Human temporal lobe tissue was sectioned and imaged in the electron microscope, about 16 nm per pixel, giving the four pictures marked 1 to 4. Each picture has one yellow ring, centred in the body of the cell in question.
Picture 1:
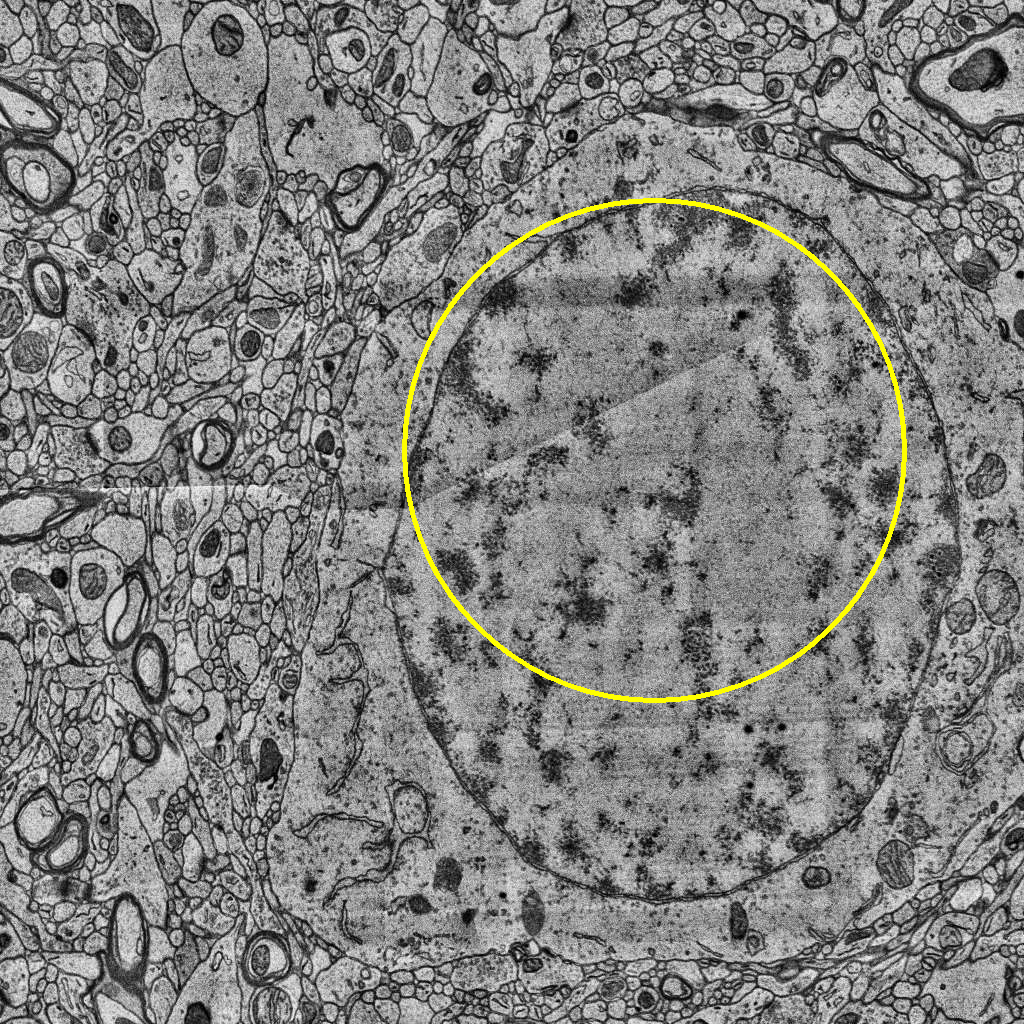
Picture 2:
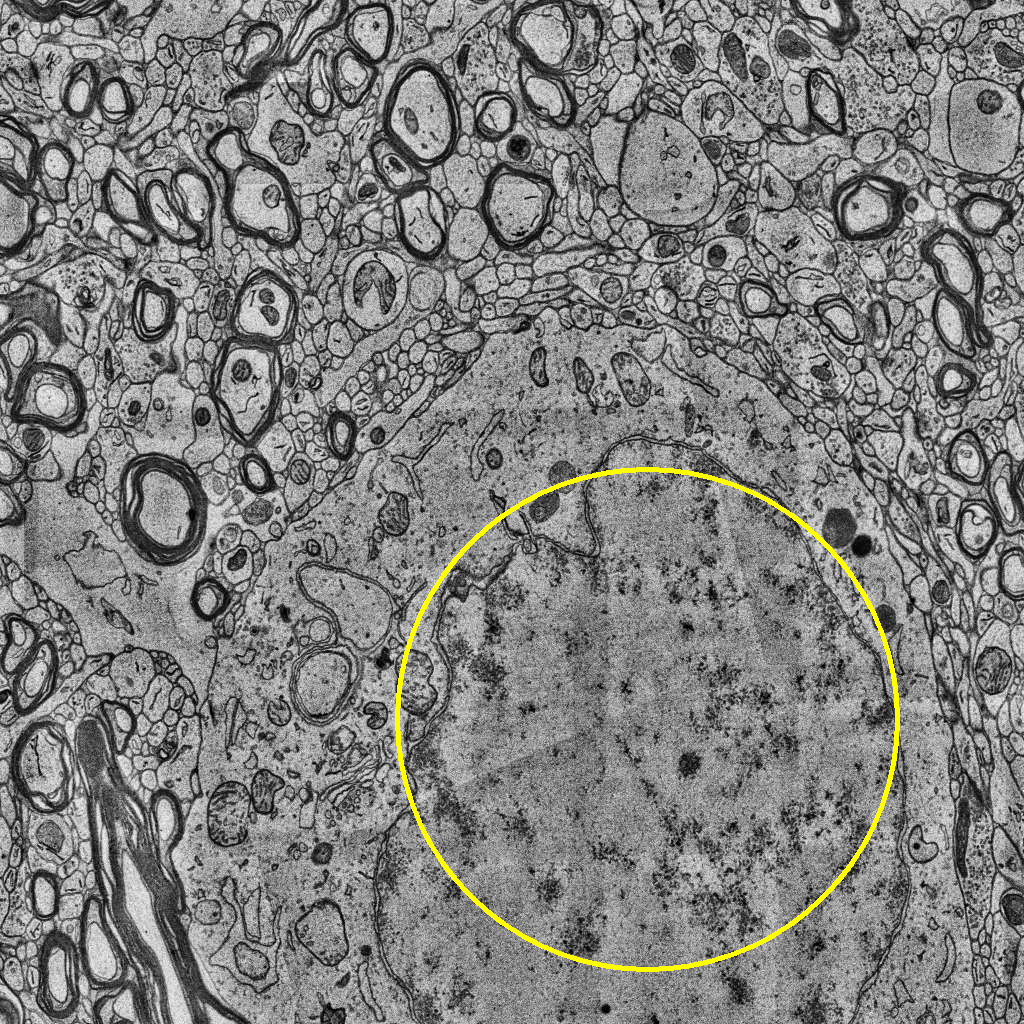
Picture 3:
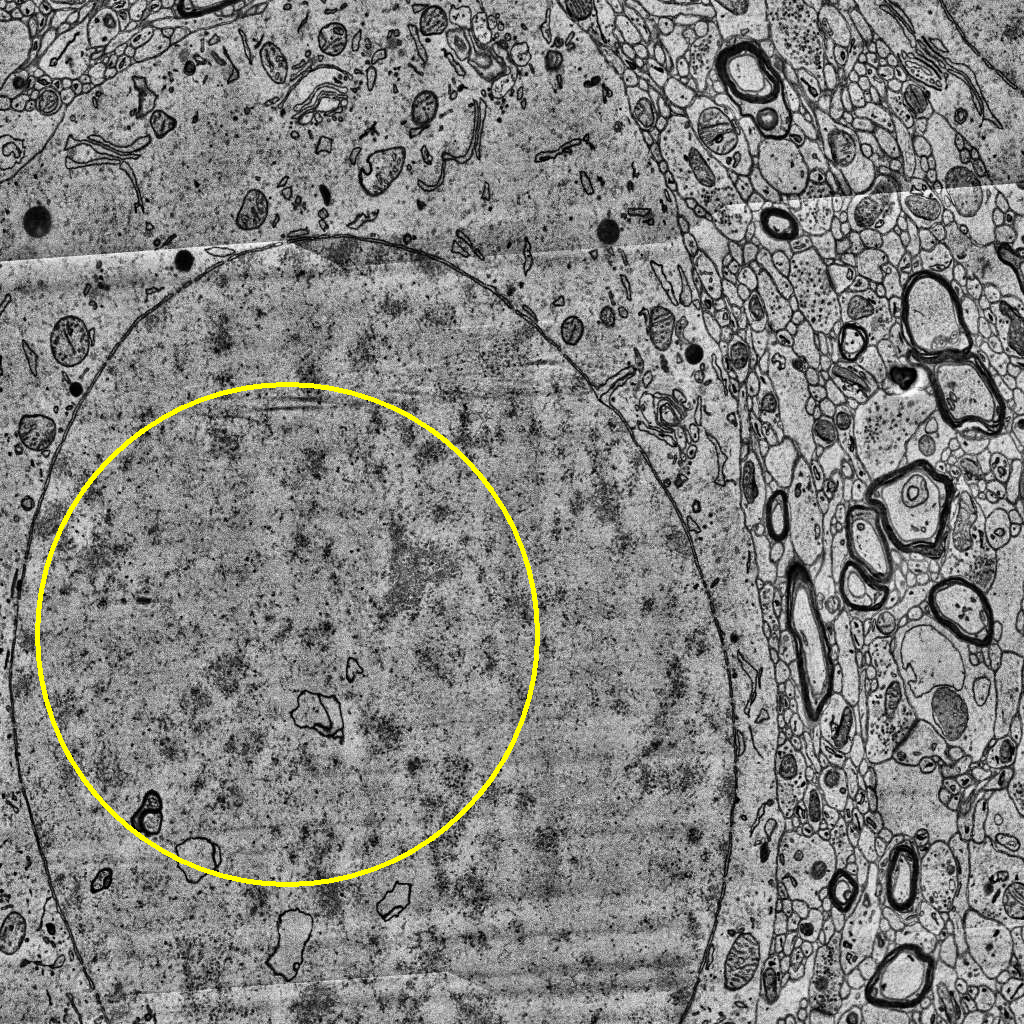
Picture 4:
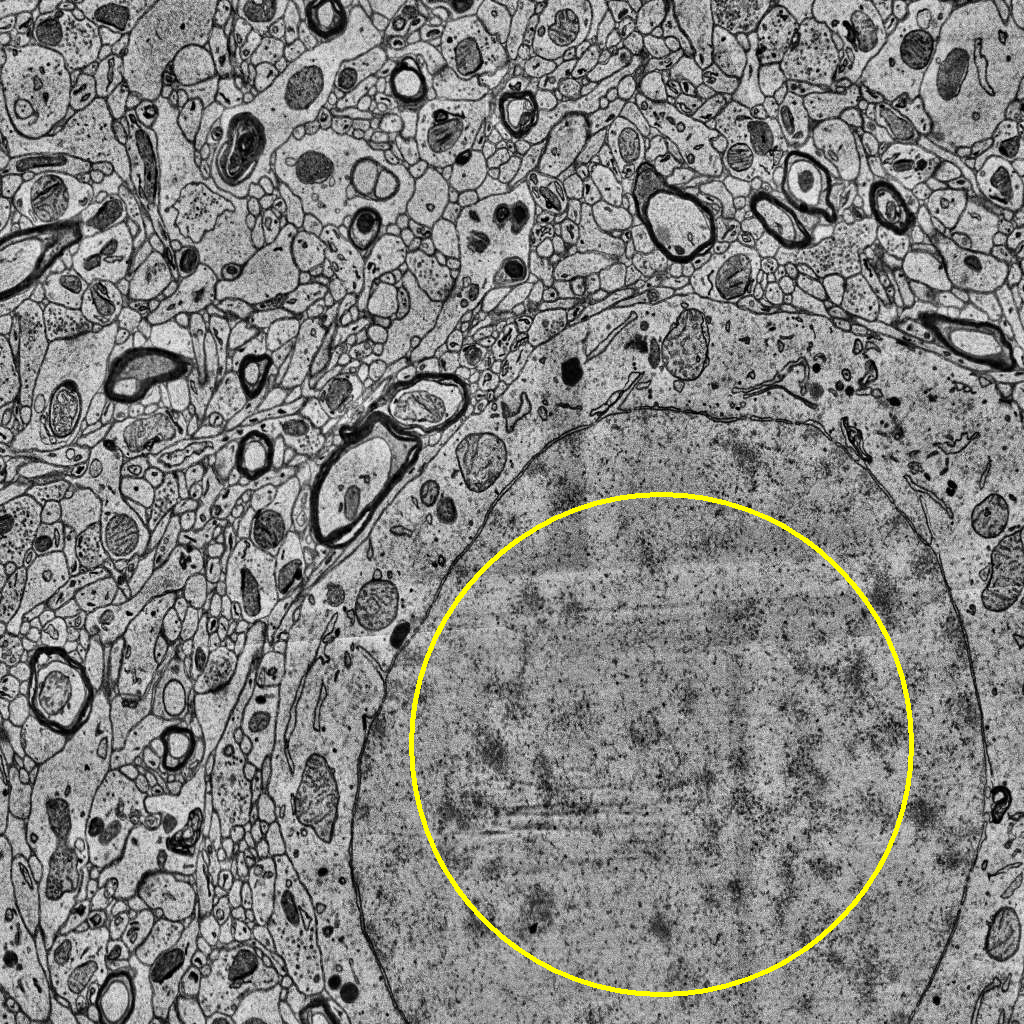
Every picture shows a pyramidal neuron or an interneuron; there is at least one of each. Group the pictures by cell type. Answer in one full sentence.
Pictures 1, 3 and 4 show pyramidal neurons, while picture 2 shows an interneuron.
